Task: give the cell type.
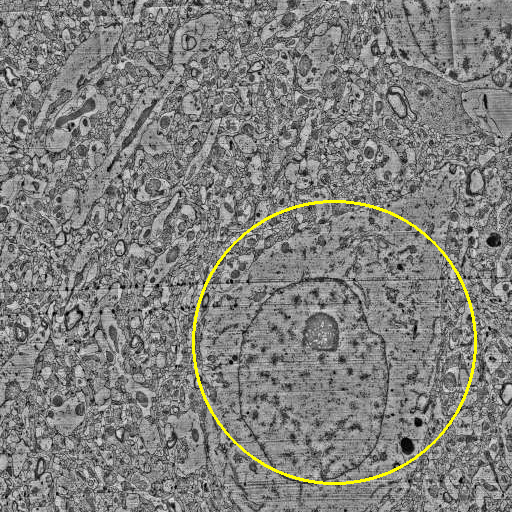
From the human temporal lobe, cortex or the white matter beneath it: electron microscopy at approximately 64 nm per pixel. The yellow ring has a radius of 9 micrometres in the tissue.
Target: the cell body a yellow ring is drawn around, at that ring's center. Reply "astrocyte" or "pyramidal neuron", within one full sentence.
In this picture, the cell whose body lies at the ring's center is a pyramidal neuron.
